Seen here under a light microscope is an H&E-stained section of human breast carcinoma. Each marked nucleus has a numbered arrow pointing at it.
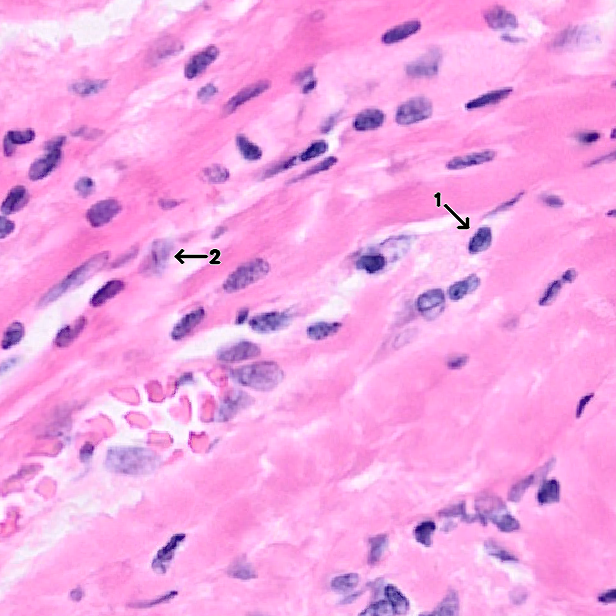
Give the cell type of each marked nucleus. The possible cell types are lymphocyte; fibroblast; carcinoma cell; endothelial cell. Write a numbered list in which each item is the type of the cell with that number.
1. lymphocyte
2. fibroblast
